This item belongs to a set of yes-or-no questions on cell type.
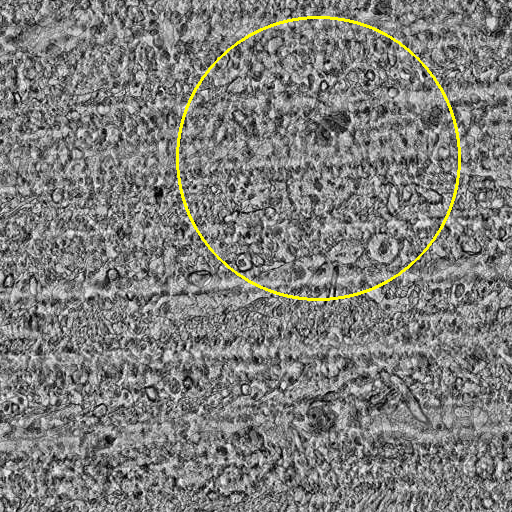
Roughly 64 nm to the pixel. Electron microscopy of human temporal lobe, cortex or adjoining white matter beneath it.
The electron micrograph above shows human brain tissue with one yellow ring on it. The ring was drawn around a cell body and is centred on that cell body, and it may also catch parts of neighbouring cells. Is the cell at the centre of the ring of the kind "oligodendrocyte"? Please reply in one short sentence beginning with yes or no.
Yes, that cell is of the named kind.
